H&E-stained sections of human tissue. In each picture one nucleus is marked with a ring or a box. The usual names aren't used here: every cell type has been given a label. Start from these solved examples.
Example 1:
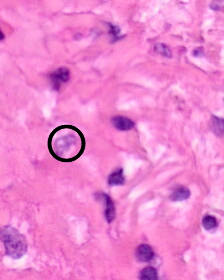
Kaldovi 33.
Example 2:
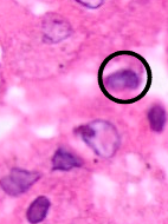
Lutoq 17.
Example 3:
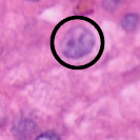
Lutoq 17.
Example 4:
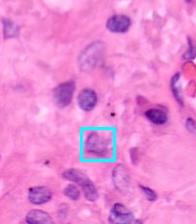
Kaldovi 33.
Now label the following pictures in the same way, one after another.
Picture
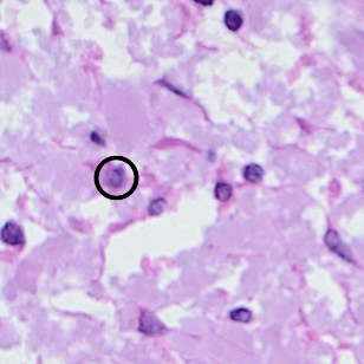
Lutoq 17.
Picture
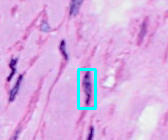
Kaldovi 33.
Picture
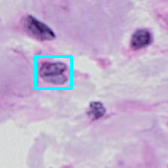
Lutoq 17.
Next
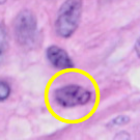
Lutoq 17.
